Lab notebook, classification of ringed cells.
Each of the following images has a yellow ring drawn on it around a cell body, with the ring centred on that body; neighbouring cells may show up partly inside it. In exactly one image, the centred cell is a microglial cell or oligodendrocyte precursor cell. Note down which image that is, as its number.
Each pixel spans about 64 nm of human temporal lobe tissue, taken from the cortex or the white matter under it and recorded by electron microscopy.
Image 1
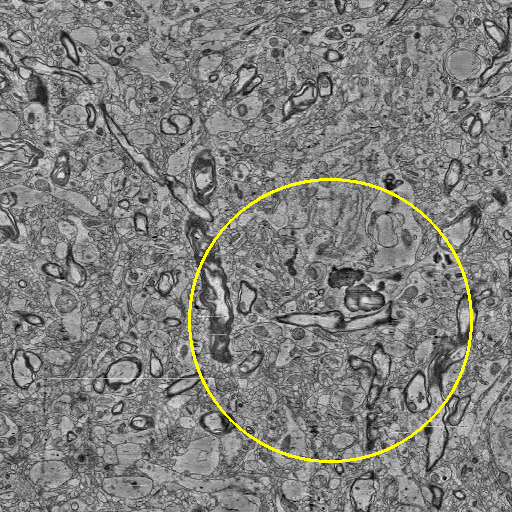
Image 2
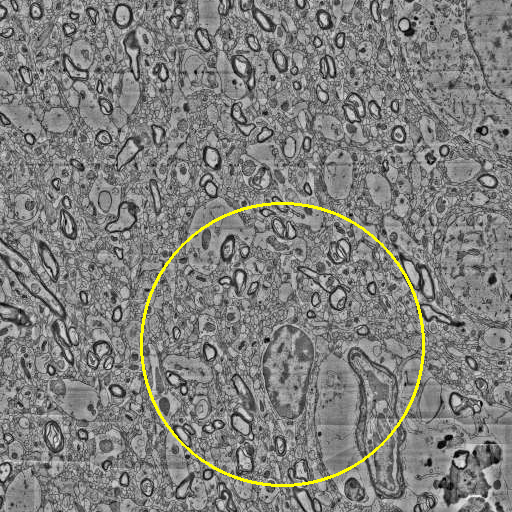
2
